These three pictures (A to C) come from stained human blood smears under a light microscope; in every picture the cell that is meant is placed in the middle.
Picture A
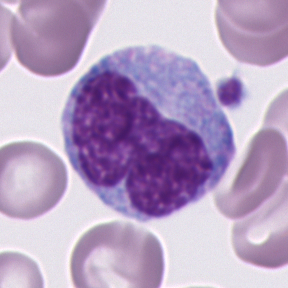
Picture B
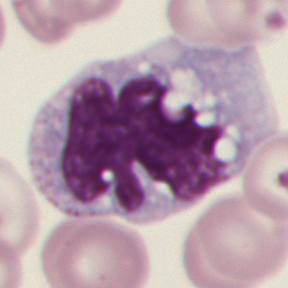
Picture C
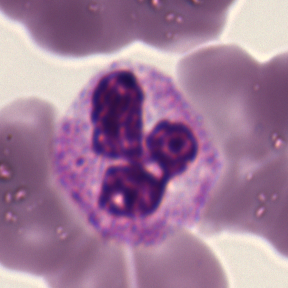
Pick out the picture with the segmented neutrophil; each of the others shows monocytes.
C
